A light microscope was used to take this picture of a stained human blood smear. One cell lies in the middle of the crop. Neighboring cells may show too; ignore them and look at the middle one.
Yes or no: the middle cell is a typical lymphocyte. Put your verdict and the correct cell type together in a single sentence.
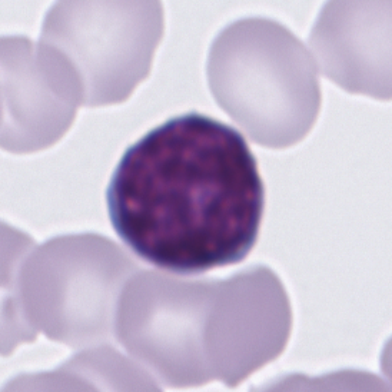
Yes, the cell that occupies the centre is a typical lymphocyte.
